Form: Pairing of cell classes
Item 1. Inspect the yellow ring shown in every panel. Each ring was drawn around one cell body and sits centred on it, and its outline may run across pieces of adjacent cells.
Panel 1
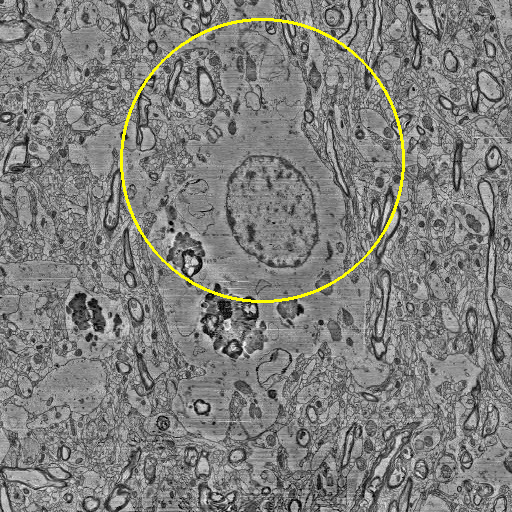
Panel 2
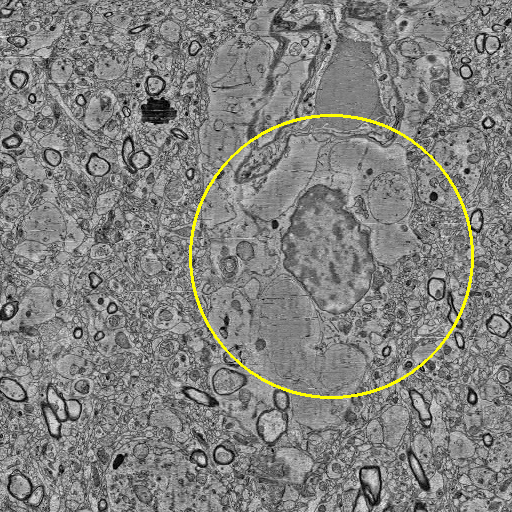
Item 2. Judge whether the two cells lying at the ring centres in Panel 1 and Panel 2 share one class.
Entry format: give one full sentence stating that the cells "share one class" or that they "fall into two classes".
The cells at the ring centres in Panel 1 and Panel 2 fall into two classes.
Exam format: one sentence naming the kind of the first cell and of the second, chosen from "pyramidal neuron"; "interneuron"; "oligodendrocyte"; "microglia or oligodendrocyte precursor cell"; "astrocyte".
The first picture's cell is an astrocyte, and the second picture's cell is a microglial cell or oligodendrocyte precursor cell.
